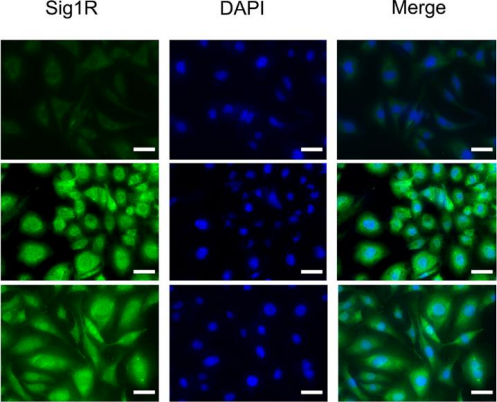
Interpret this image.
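The blue channel shows round to oval nuclei, one per cell, spread across the field. In the top row the green is faint and diffuse, so the outlines of the flattened cells are only just visible. In the two lower rows the green is bright and fills the cytoplasm of polygonal to spindle-shaped cells, with the strongest colour around the nucleus, fading toward the cell edges. In the merged images the blue nuclei sit inside the green cell bodies, and the cells of the lowest row are more elongated, with tapering ends.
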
